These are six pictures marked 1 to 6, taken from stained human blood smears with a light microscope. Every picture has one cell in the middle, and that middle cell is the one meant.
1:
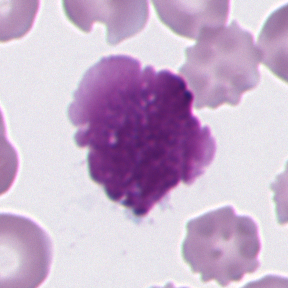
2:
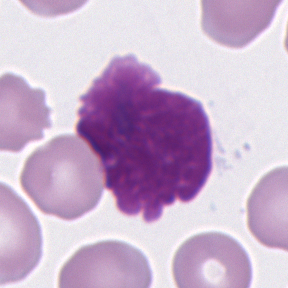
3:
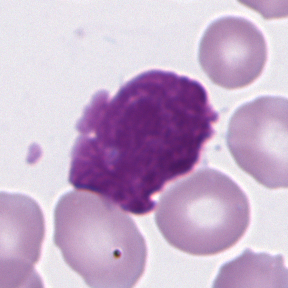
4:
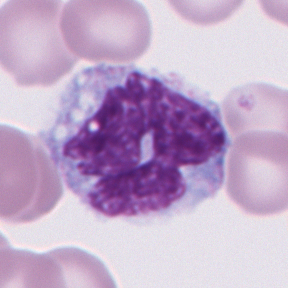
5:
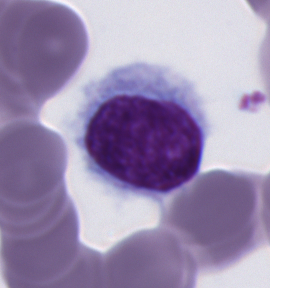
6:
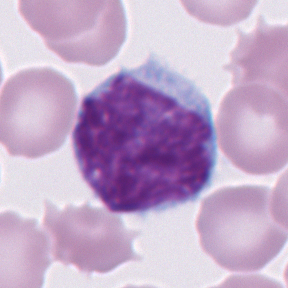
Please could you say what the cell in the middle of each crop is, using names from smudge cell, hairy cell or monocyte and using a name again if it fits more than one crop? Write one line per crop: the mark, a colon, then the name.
1: smudge cell
2: smudge cell
3: smudge cell
4: monocyte
5: hairy cell
6: monocyte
